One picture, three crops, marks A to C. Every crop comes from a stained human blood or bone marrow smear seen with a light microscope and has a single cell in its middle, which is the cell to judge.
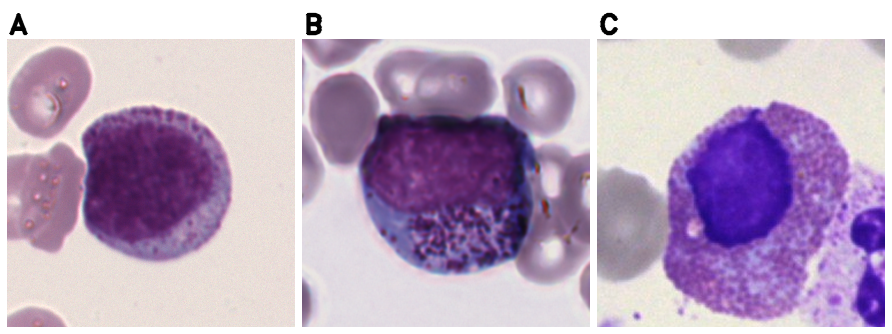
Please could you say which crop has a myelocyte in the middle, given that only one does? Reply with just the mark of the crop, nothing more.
A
